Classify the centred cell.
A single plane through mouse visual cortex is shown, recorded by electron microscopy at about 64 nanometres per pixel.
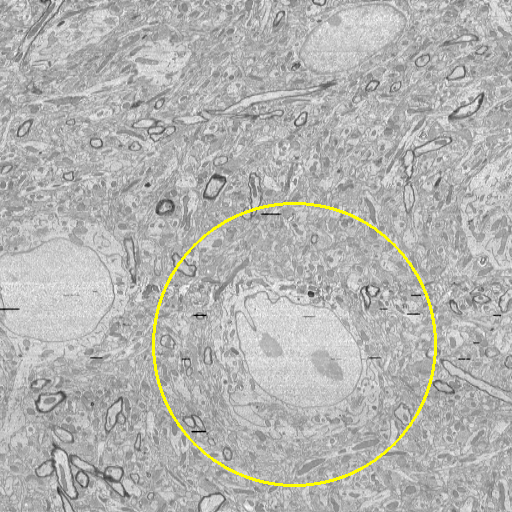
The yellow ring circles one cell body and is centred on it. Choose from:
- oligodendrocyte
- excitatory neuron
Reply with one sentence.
The ring is centred on an excitatory neuron.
